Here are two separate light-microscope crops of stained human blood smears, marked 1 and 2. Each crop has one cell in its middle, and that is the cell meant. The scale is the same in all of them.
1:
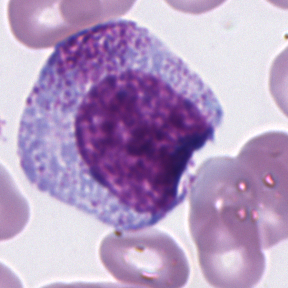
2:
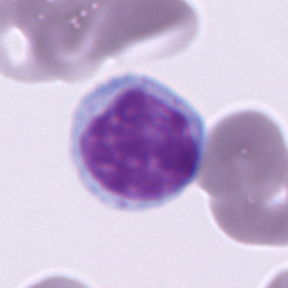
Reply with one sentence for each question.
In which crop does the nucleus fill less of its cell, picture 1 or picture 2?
Of the two, the nucleus in picture 1 leaves more room for cytoplasm.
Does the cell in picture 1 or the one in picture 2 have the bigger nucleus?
Picture 1 shows the larger nucleus; it covers about 1.5 times the area of the nucleus in picture 2.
